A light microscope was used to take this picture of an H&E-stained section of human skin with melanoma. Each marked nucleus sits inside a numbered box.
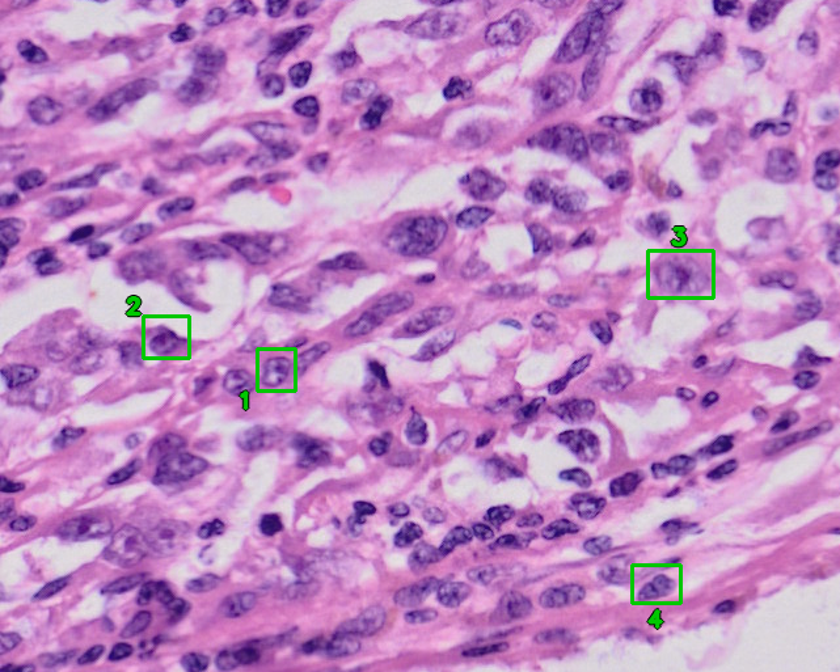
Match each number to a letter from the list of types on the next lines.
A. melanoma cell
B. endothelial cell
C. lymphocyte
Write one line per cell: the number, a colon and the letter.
1: A
2: A
3: A
4: C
